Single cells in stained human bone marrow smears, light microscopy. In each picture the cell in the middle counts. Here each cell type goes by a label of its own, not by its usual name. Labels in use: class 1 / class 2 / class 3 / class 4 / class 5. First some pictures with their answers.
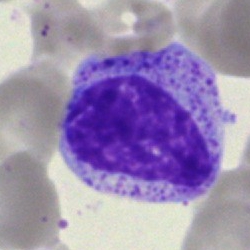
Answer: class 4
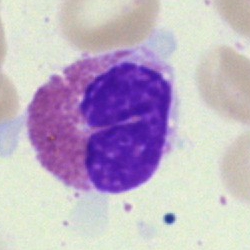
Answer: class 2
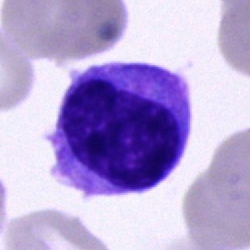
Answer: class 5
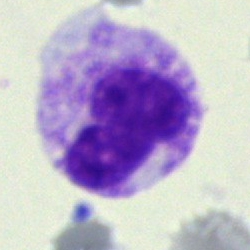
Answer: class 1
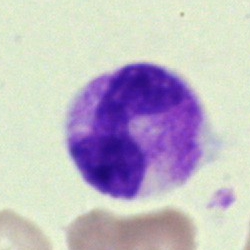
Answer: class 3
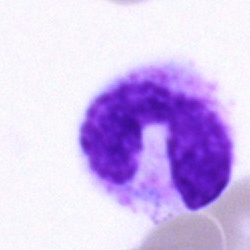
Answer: class 1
